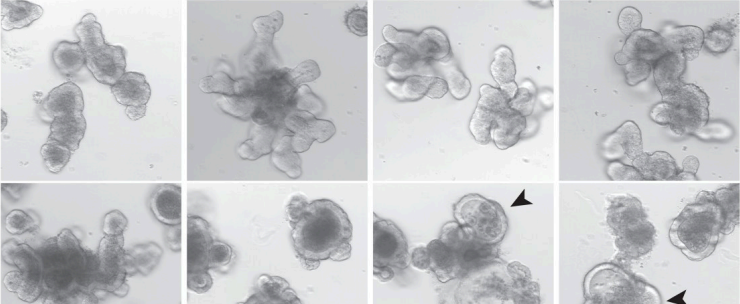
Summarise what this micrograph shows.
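Many have a dark, dense centre with several rounded buds sticking out, each bud lined by a single layer of epithelium. Some others, marked by arrowheads, are large, round, hollow cysts with a thin, smooth epithelial wall and no buds, a sphere-like rather than budding form.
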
